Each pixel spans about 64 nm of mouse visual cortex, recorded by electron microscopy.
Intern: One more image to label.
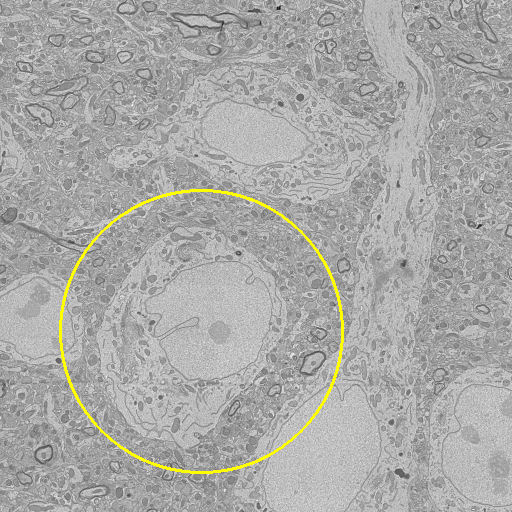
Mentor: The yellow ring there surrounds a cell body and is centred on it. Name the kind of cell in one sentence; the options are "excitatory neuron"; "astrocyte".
The ring marks the cell body of an excitatory neuron.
